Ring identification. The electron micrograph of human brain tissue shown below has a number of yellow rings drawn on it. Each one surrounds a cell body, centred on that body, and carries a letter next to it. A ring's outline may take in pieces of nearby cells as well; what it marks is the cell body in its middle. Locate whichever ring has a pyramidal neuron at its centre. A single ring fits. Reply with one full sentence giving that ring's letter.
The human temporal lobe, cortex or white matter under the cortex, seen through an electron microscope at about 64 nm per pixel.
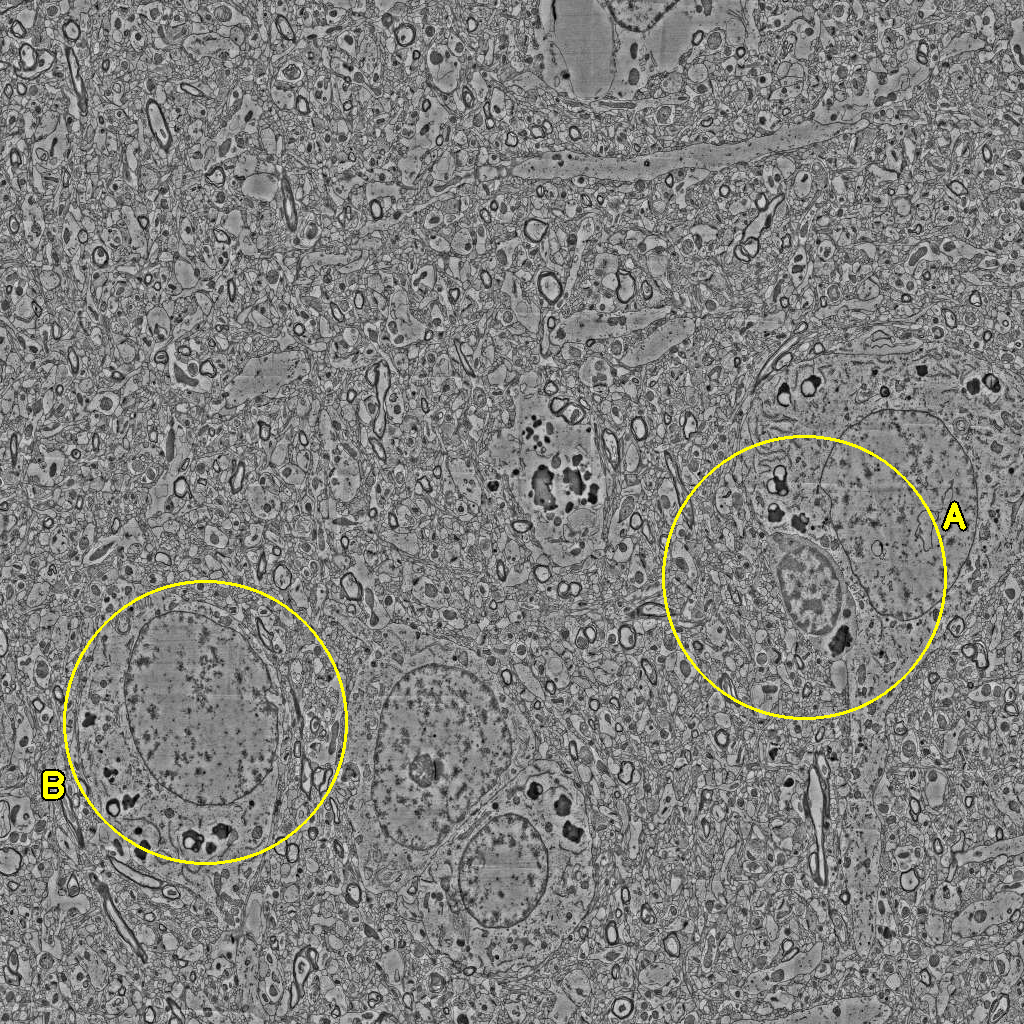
The letter B belongs to the ring centred on a cell of that kind.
